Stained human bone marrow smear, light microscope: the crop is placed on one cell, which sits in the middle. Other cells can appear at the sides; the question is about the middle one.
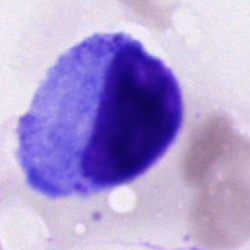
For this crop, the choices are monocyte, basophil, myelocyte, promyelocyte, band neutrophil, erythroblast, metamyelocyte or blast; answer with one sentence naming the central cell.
In the center of this field lies a promyelocyte.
